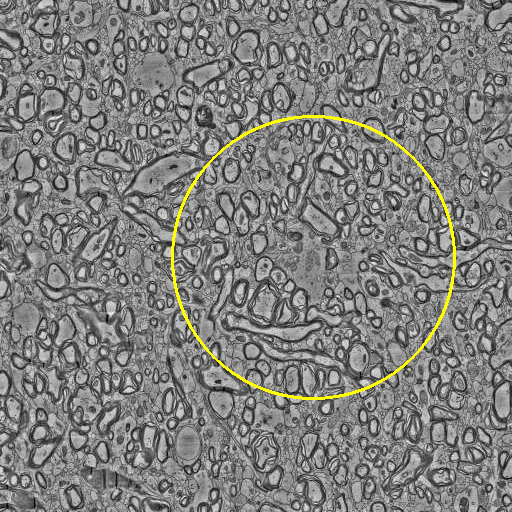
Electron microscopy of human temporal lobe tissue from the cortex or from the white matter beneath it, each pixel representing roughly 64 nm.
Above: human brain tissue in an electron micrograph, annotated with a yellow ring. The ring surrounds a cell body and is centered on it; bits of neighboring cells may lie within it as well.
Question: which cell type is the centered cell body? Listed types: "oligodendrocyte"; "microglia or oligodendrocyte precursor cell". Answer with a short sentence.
The centered cell body is an oligodendrocyte.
